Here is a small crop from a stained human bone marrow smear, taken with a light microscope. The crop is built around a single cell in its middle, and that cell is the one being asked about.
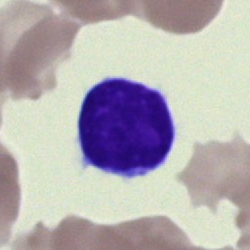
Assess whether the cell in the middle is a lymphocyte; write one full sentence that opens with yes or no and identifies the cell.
Yes, the middle cell is classified as a lymphocyte.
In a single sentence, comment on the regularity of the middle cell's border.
No surface projections are present; the cell outline is smooth.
